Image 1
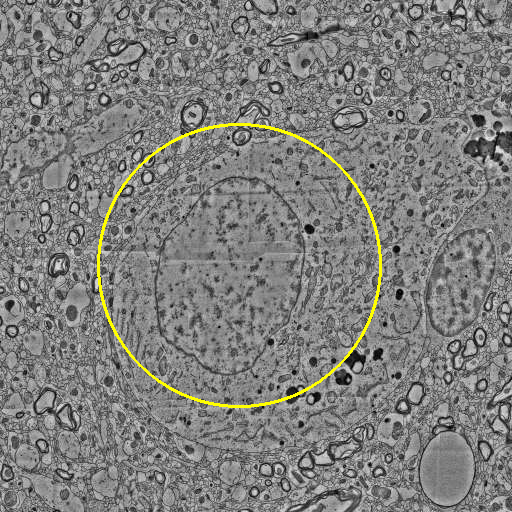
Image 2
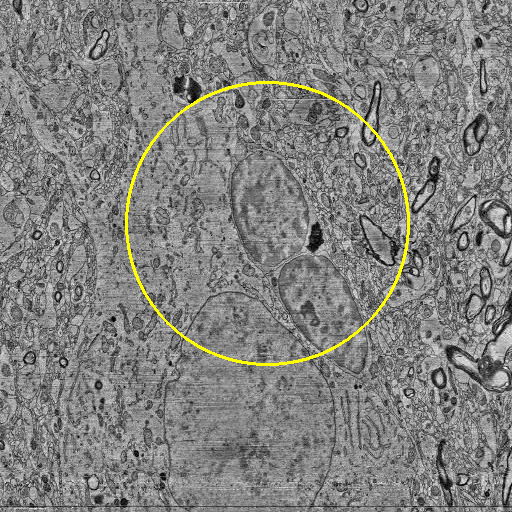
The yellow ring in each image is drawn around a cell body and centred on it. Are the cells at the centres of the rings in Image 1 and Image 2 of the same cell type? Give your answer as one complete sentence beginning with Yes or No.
No, the two cells are of two separate types.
